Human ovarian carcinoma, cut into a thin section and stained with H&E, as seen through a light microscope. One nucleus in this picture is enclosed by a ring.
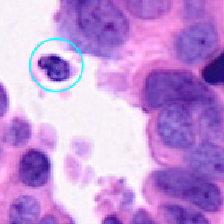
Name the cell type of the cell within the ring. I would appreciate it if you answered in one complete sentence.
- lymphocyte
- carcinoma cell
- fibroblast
Typologically, the cell within the ring is a lymphocyte in this section.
